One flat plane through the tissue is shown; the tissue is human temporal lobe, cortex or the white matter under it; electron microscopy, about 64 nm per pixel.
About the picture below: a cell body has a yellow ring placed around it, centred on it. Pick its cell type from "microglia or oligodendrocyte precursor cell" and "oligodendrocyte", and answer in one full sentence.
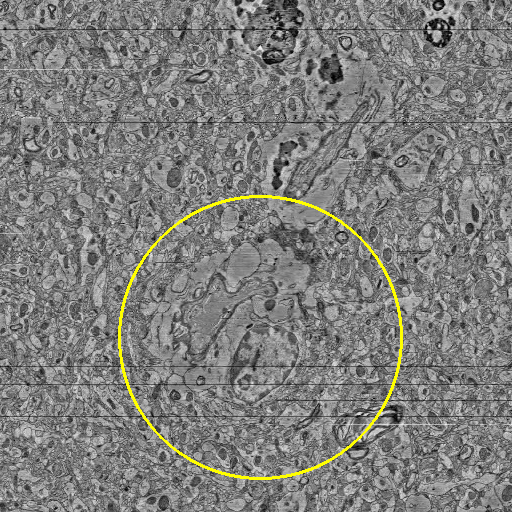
In the picture, a microglial cell or oligodendrocyte precursor cell is the cell sitting at the centre of the yellow ring.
